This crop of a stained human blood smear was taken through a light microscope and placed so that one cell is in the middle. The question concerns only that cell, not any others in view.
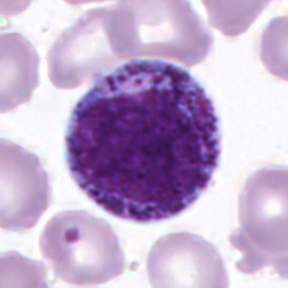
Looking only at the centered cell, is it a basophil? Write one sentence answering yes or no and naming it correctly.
No, the middle of this crop is occupied by a promyelocyte rather than a basophil.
